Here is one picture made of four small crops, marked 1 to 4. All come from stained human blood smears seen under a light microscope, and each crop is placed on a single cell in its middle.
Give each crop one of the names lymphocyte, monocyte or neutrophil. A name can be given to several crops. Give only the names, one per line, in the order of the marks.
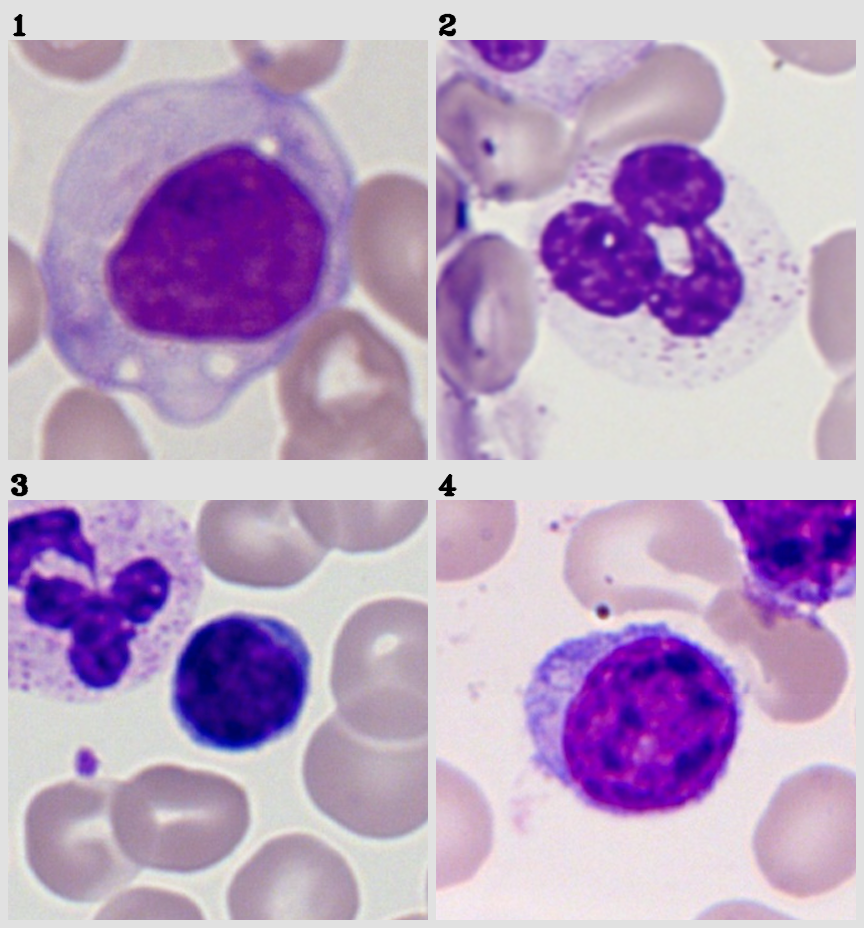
monocyte
neutrophil
lymphocyte
lymphocyte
